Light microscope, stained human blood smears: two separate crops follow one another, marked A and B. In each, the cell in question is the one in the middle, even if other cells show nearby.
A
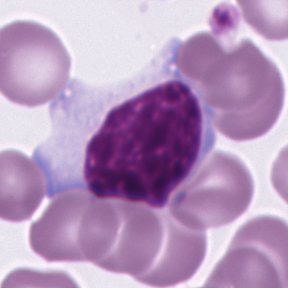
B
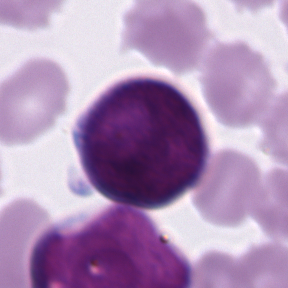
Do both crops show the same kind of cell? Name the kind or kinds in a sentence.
No, it is crop A that shows a typical lymphocyte, and crop B that shows a myeloblast.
